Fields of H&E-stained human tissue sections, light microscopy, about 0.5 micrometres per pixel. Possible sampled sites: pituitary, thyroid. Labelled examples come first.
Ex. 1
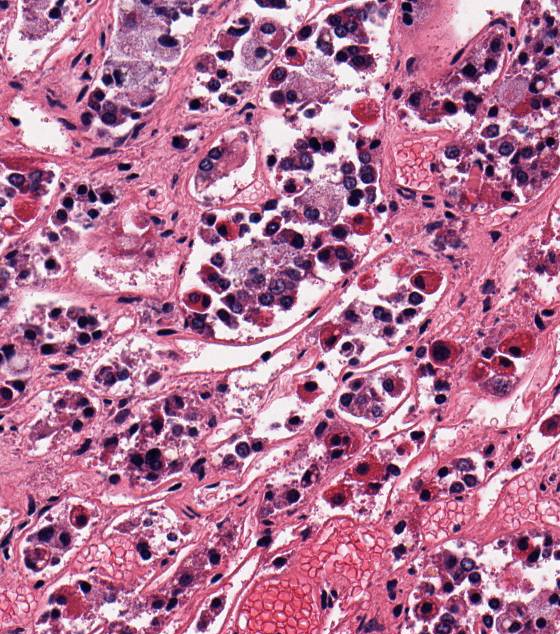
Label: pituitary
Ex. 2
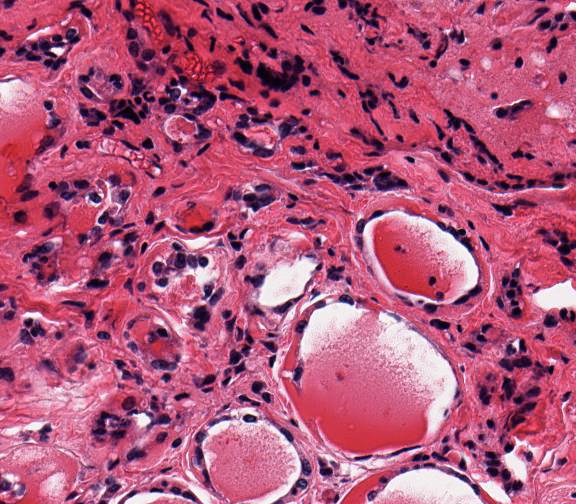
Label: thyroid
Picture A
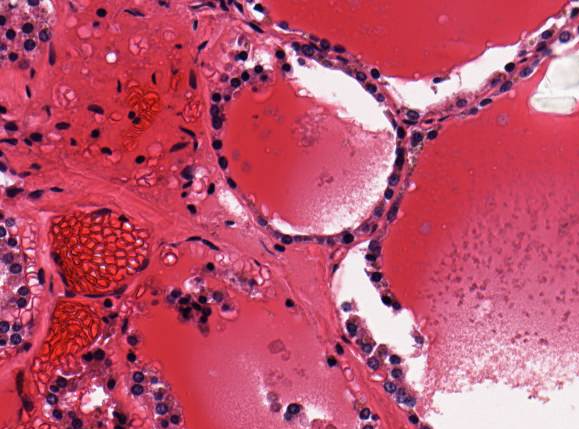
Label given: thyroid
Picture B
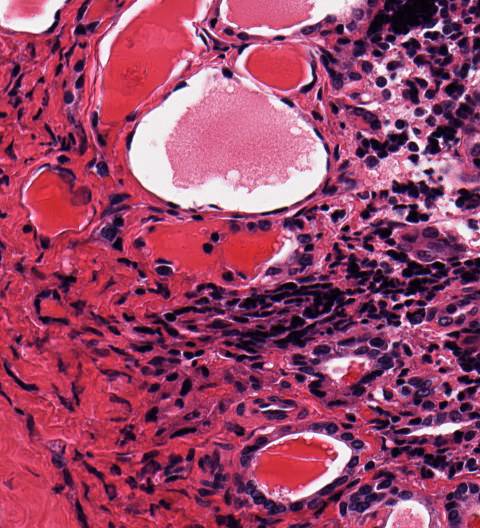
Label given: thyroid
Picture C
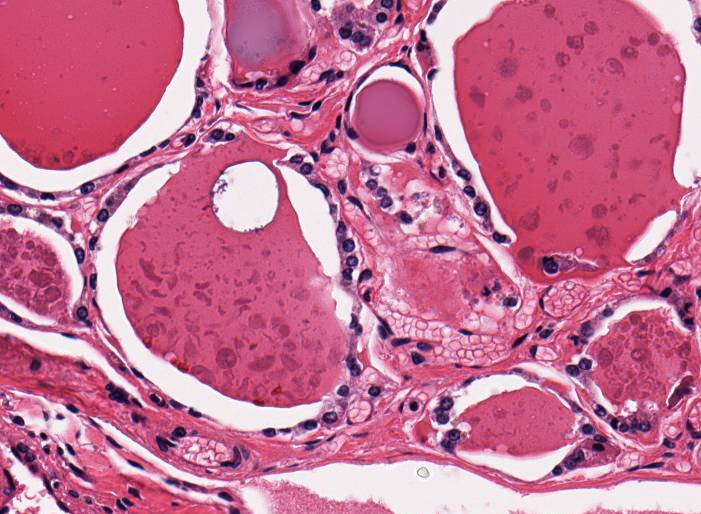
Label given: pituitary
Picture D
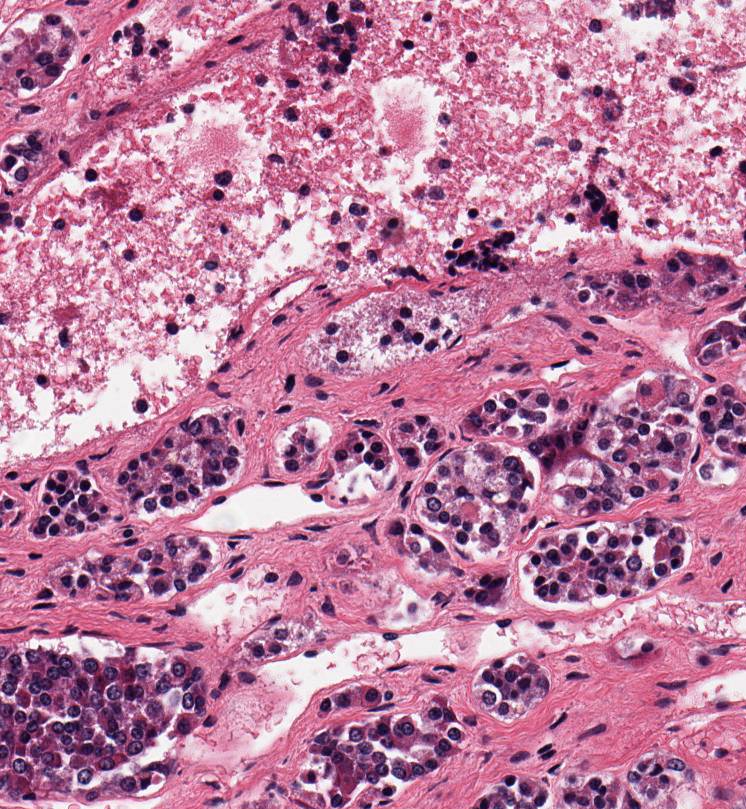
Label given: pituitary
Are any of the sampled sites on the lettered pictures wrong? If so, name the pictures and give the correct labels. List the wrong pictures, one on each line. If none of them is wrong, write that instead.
C: thyroid, not pituitary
